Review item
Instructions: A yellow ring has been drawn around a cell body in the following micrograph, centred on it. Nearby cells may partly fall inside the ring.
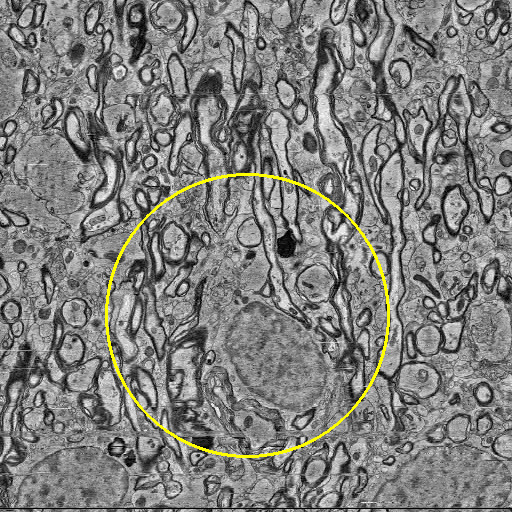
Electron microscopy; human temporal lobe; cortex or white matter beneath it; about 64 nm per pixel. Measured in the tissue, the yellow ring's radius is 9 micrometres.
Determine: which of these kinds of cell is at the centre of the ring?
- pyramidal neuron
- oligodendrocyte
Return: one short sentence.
The cell body in the middle of the ring is that of an oligodendrocyte.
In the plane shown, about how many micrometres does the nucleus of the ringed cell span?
The nucleus is approximately 8 micrometers long by 5 micrometers wide in this plane.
